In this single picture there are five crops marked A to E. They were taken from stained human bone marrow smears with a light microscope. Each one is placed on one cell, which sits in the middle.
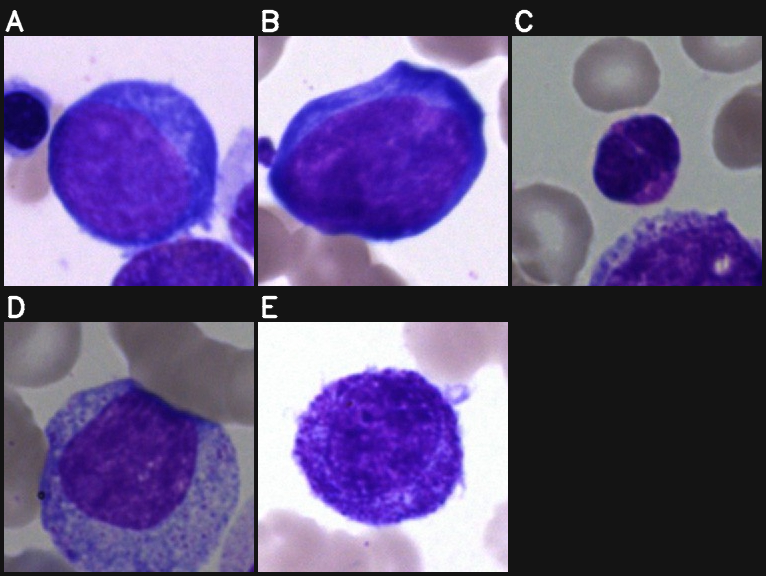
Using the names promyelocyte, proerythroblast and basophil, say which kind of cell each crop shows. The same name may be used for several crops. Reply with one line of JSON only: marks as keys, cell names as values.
{"A": "proerythroblast", "B": "proerythroblast", "C": "basophil", "D": "promyelocyte", "E": "promyelocyte"}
